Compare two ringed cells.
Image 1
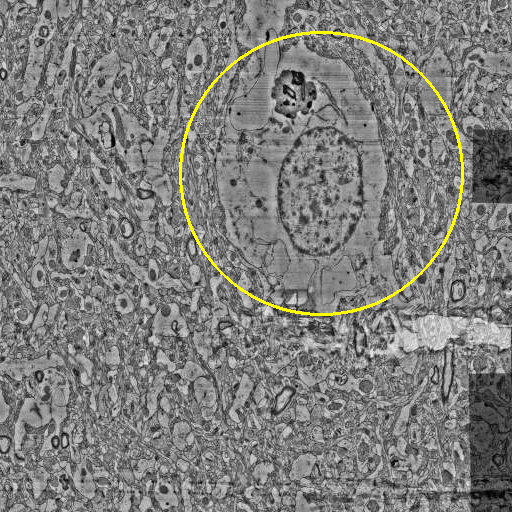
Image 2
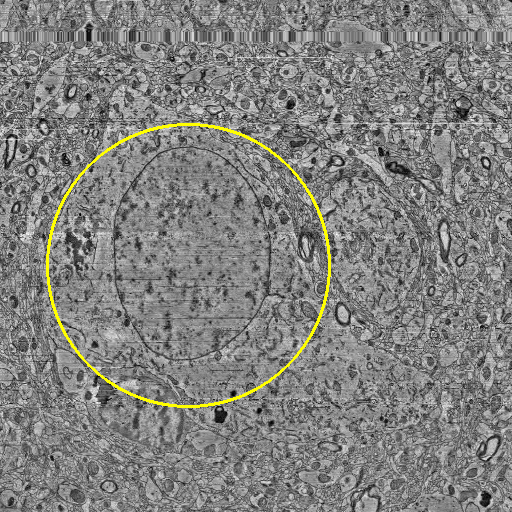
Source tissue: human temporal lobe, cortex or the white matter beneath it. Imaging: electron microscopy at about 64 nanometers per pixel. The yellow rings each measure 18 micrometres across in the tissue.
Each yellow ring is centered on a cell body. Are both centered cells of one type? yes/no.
no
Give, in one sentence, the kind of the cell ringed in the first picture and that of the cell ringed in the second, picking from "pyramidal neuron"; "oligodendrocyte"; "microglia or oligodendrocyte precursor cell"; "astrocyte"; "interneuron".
For the first picture it is an astrocyte; for the second, a pyramidal neuron.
